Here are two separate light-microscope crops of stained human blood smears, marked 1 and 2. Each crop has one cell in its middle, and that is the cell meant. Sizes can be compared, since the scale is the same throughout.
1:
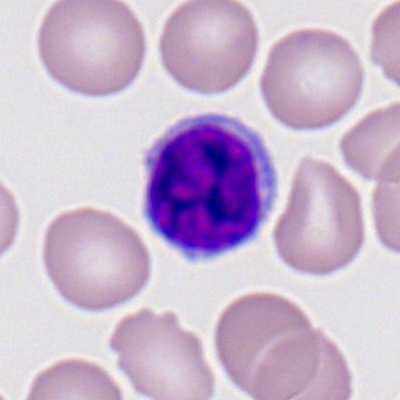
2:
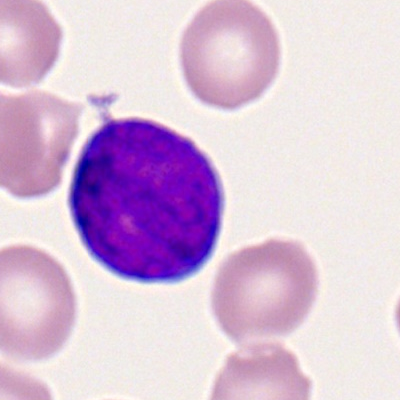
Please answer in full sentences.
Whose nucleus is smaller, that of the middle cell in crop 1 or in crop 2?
Smaller is the nucleus in crop 1, and the other is about 1.5 times as large in area.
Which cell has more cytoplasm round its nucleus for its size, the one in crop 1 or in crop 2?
It is the cell in crop 1 that is filled less by its nucleus.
